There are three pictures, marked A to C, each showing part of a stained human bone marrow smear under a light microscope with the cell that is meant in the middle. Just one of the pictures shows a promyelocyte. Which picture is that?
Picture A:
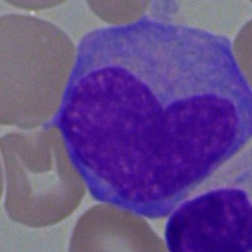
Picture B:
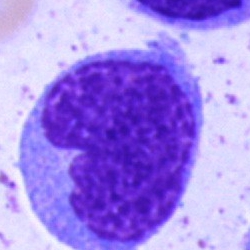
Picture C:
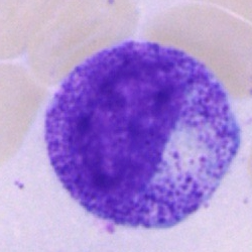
C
